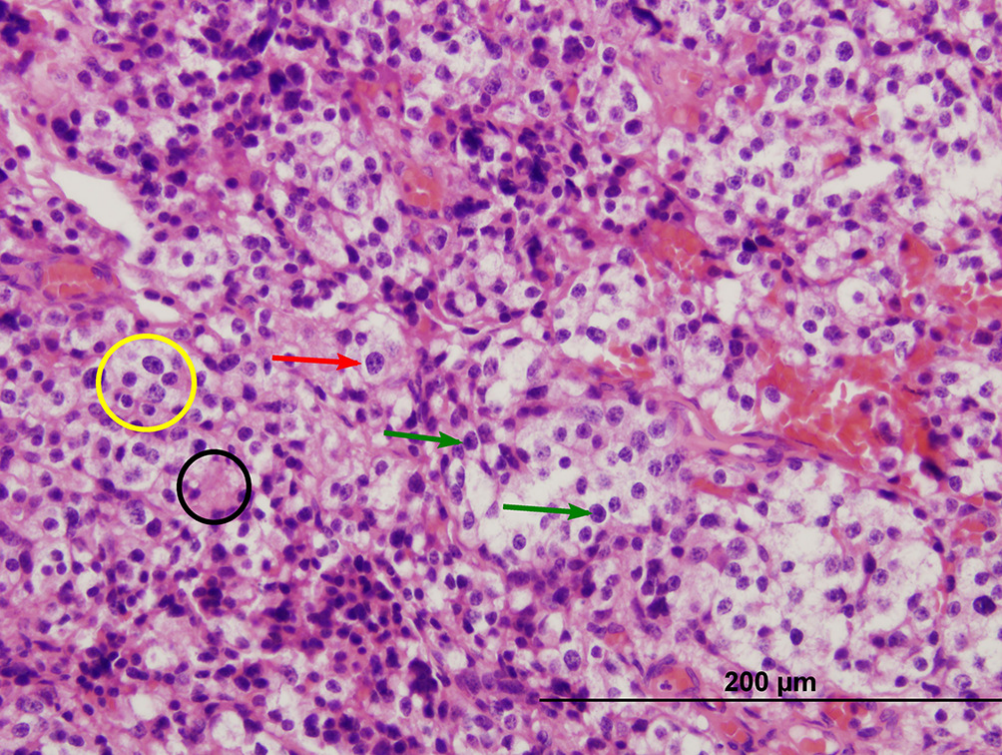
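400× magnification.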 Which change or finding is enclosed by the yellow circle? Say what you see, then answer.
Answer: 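The circled cells have round purple nuclei. The nuclei inside the circle are of different sizes. So: round nuclei varying in size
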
